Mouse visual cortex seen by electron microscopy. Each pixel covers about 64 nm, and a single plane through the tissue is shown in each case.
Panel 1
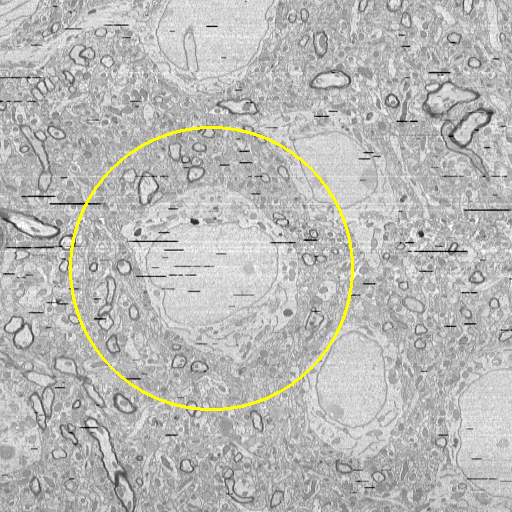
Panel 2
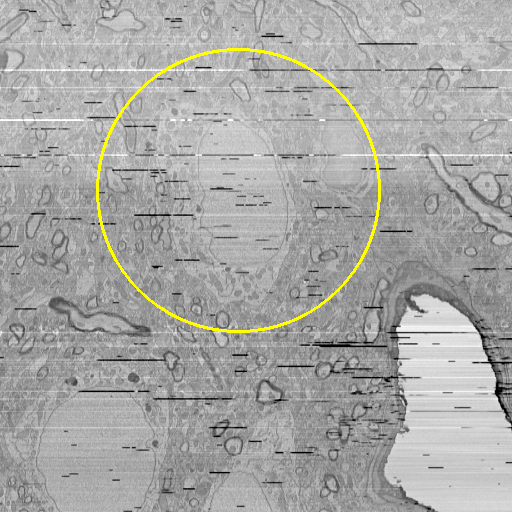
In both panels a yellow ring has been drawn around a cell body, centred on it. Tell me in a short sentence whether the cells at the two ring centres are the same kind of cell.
Yes, they are the same kind of cell.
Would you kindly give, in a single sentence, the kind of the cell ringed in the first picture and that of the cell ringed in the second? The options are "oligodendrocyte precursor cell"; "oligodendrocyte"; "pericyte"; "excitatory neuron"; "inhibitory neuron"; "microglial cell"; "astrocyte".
Each of the two pictures has an excitatory neuron at the ring centre.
